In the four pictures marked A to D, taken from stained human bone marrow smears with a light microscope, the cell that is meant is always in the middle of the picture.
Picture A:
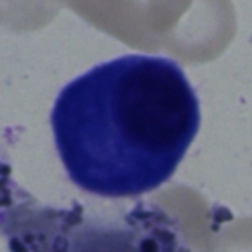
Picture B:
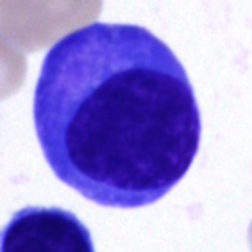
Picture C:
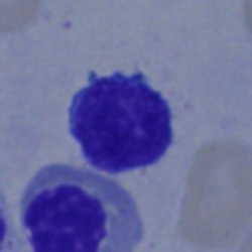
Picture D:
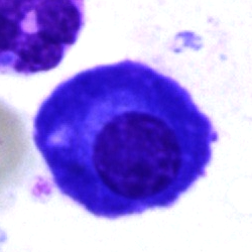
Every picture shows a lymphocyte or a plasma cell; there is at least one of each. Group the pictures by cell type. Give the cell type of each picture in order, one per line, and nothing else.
plasma cell
plasma cell
lymphocyte
plasma cell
